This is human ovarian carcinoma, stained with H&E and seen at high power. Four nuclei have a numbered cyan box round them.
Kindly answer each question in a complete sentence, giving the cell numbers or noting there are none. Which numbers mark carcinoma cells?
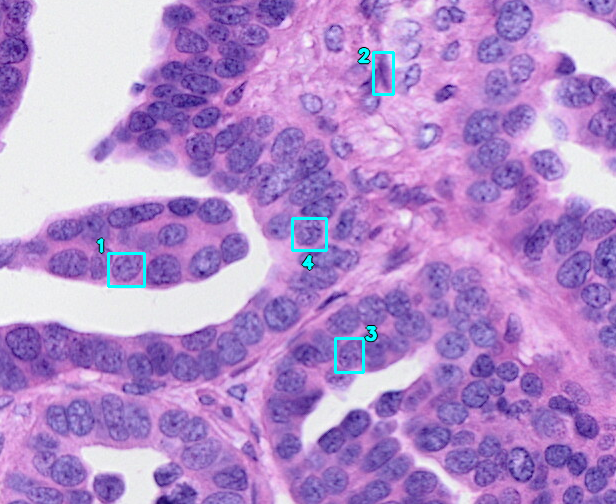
The cells 1, 3 and 4 in this section are carcinoma cells.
